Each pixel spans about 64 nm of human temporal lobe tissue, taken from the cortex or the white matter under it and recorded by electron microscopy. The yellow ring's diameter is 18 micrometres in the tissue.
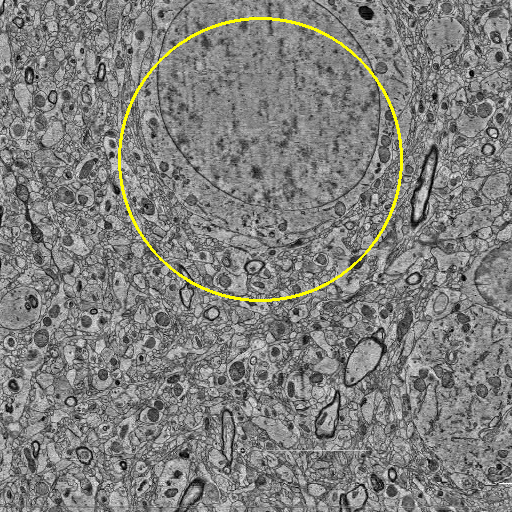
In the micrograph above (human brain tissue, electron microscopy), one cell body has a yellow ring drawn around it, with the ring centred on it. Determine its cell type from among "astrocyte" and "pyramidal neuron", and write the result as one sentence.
The cell whose body is ringed is a pyramidal neuron.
